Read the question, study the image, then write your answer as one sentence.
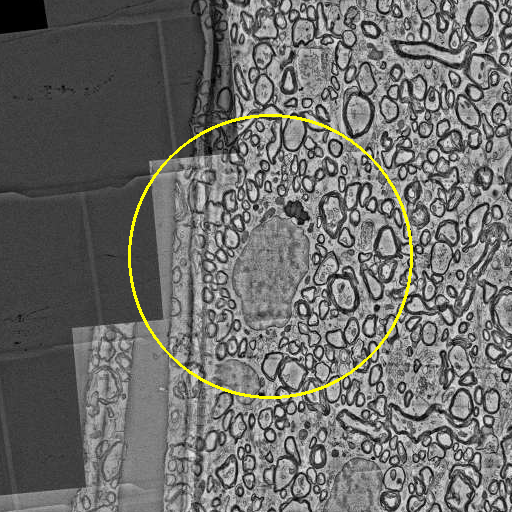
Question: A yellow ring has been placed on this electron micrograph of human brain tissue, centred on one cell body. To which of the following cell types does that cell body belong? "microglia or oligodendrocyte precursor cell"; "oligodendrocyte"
That cell body belongs to a microglial cell or oligodendrocyte precursor cell.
